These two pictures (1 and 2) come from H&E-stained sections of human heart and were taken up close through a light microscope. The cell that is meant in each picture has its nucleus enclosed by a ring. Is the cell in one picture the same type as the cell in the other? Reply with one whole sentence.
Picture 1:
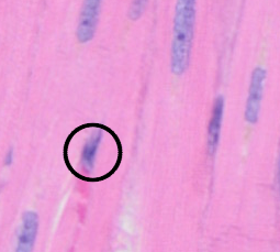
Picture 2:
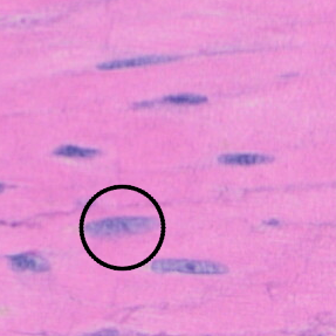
No, picture 1 shows an endothelial cell and picture 2 shows a cardiomyocyte.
